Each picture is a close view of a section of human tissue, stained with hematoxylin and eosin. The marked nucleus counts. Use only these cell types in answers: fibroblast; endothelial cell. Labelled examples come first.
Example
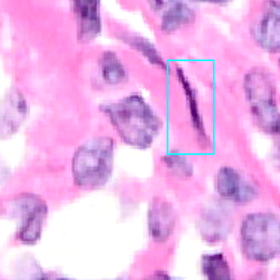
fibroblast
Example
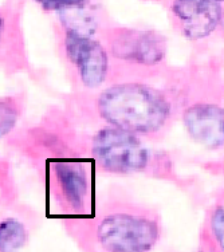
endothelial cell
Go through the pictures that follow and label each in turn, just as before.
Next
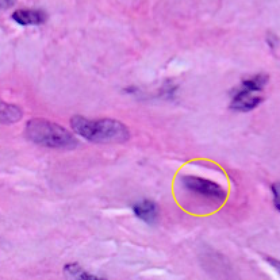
endothelial cell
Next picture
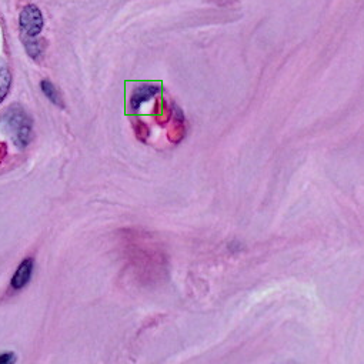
endothelial cell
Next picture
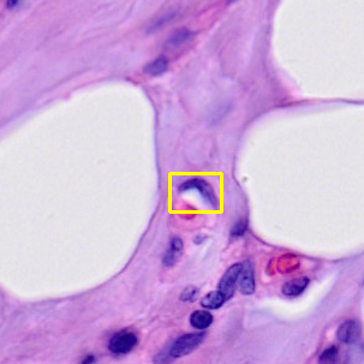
endothelial cell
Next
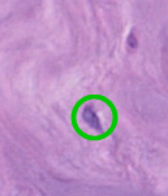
fibroblast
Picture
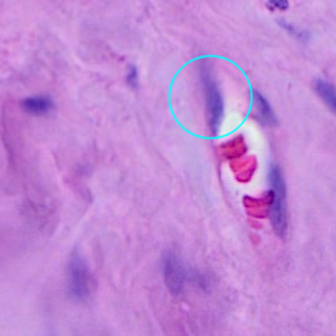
endothelial cell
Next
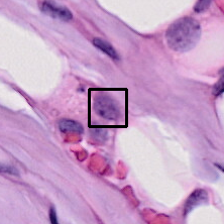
endothelial cell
